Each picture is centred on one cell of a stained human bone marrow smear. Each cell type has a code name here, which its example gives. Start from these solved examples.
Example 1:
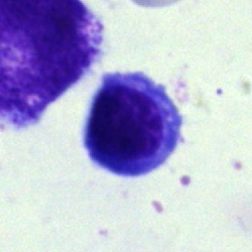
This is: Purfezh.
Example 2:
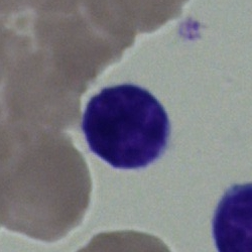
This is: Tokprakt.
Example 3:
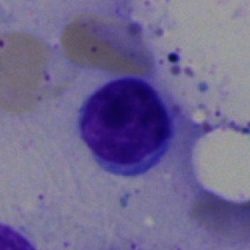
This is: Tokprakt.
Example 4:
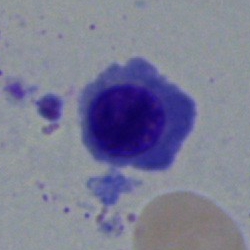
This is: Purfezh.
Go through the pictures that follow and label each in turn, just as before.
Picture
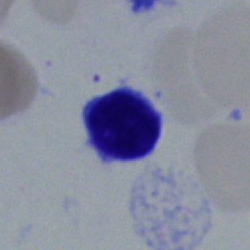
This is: Tokprakt.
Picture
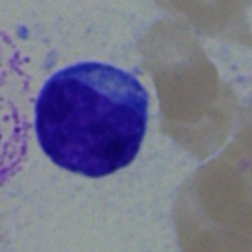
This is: Tokprakt.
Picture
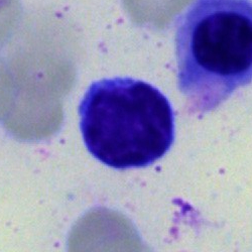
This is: Tokprakt.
